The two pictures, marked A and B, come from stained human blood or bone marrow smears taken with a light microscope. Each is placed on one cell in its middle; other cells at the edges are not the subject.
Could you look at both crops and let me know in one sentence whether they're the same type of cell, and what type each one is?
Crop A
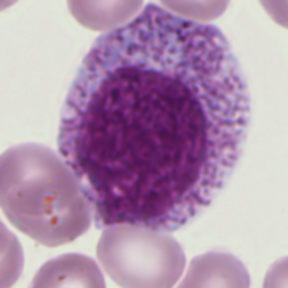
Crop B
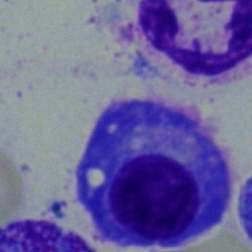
No, crop A is where a promyelocyte is, and crop B is where a plasma cell is.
